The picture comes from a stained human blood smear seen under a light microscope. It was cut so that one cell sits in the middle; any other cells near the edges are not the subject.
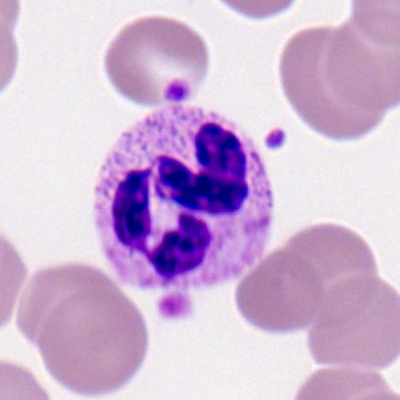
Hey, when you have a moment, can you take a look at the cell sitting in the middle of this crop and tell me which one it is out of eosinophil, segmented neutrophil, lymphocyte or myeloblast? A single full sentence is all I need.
The cell at the heart of this crop is a segmented neutrophil.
